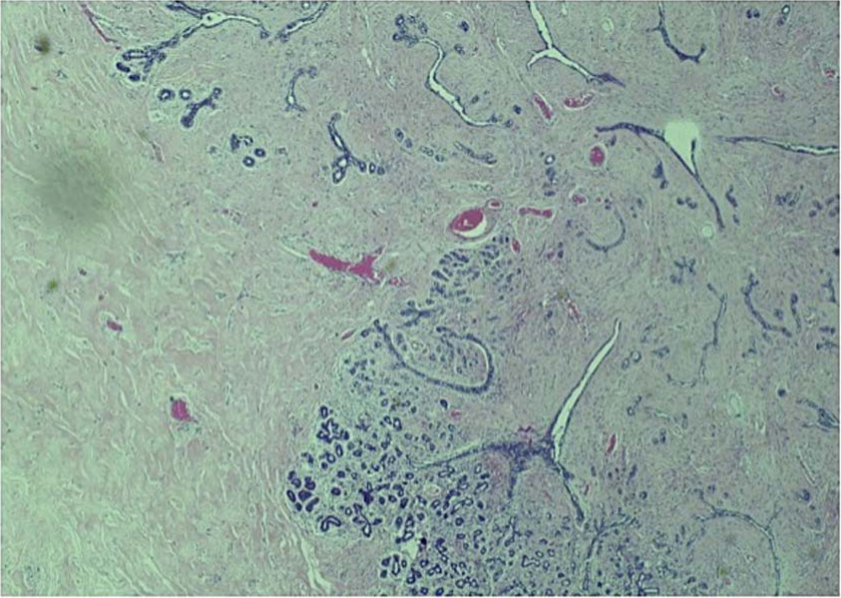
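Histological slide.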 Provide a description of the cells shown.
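At low magnification this is fibrous stroma surrounding small lobules and branching ducts lined by epithelium. In the centre and lower part, a cluster of small acini forms a lobule set within pink fibrous tissue. Elongated, branching ducts with narrow lumens run through the stroma. Scattered blood vessels containing red blood cells lie among them. The stroma around the lobules is densely collagenous and pale pink. Toward the left it becomes paucicellular, with a wavy, fibrillary texture and fine slit-like spaces between the fibres.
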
